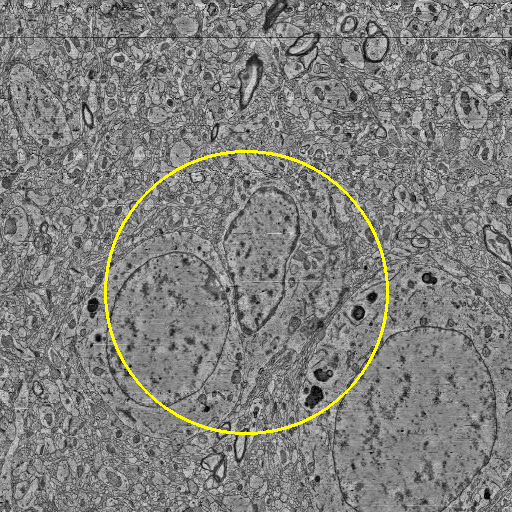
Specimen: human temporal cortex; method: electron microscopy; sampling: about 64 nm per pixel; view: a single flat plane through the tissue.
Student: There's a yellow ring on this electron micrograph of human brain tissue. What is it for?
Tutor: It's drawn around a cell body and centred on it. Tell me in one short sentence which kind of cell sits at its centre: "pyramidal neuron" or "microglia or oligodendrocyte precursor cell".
The cell at the centre of the ring is a microglial cell or oligodendrocyte precursor cell.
